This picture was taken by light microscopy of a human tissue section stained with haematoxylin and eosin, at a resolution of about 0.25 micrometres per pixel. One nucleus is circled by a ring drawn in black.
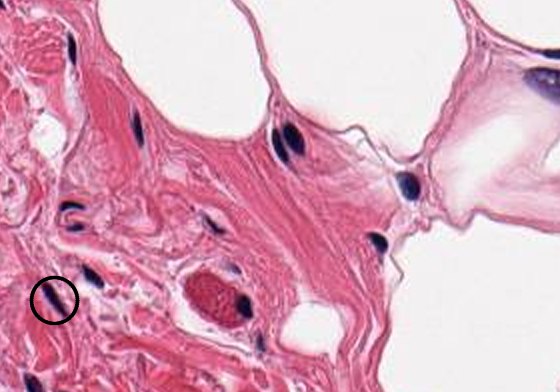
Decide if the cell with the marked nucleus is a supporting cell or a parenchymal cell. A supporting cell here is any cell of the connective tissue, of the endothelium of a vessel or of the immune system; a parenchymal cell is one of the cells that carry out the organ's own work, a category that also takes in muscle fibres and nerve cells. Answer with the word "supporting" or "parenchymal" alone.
supporting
